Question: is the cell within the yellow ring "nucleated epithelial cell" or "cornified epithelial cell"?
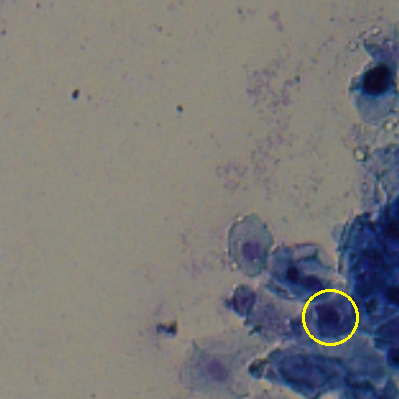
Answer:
nucleated epithelial cell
